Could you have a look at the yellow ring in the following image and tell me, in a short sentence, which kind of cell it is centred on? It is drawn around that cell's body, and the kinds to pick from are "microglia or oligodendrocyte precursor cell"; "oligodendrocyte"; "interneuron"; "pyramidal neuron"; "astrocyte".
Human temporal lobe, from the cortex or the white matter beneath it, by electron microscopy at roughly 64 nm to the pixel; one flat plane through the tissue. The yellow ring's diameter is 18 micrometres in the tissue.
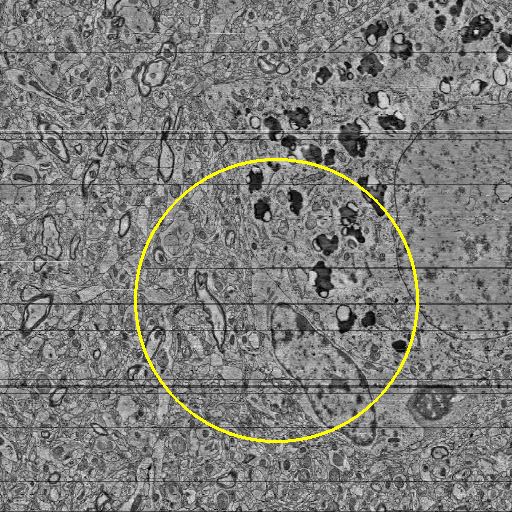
The ring is centred on the body of a microglial cell or oligodendrocyte precursor cell.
